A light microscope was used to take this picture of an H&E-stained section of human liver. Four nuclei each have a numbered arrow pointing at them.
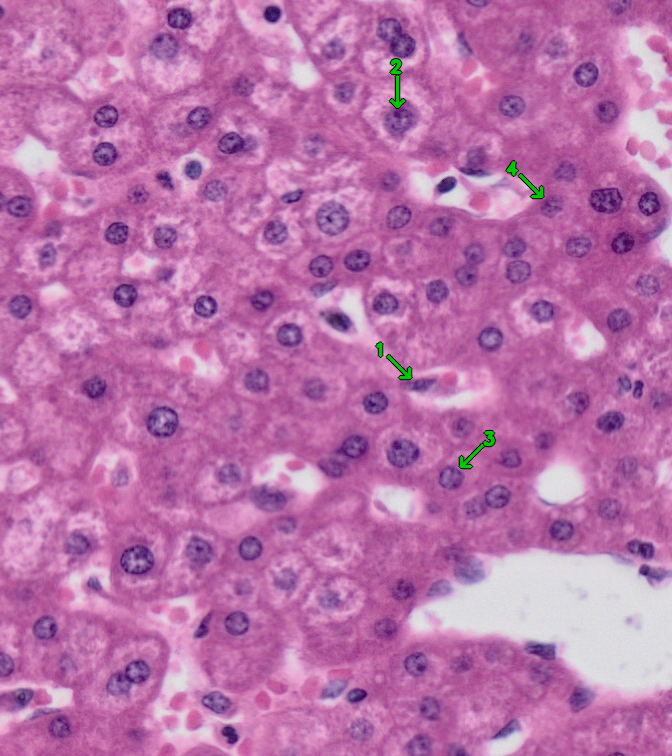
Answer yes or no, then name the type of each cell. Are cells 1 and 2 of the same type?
No, a hepatocyte is what cell 2 is, while cell 1 is a Kupffer cell.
